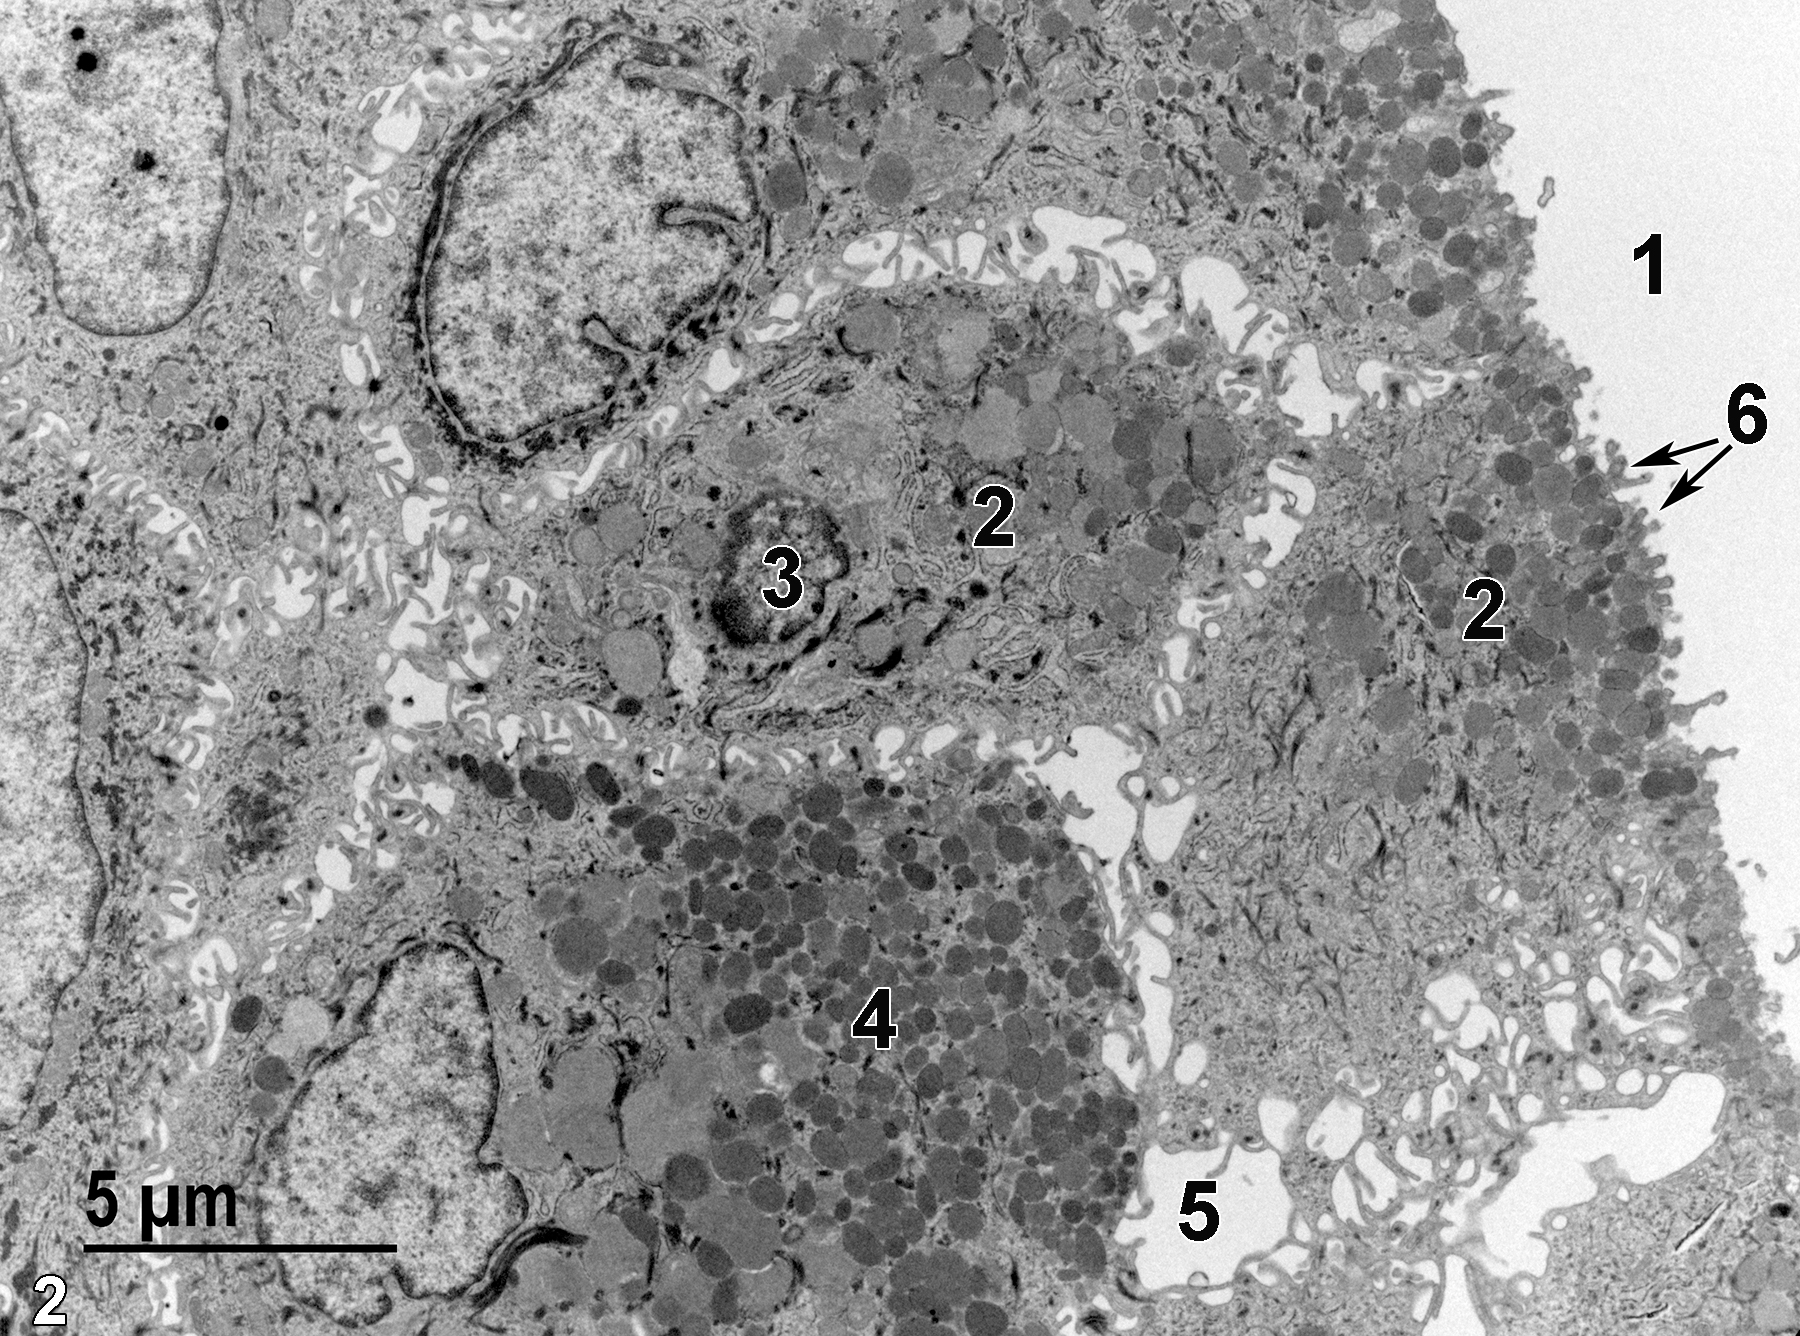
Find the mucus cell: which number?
2.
